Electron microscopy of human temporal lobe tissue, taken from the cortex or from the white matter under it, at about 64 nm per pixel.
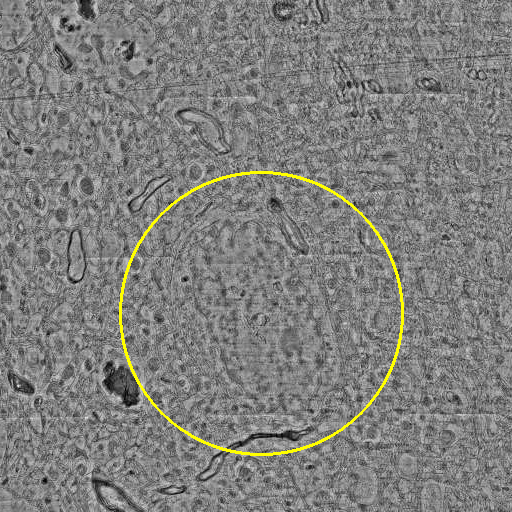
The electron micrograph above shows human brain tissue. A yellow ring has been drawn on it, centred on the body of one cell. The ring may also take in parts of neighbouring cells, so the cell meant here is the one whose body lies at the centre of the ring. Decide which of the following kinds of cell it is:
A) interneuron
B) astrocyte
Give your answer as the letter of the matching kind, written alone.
A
